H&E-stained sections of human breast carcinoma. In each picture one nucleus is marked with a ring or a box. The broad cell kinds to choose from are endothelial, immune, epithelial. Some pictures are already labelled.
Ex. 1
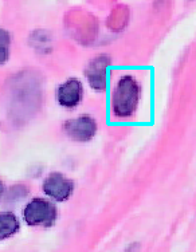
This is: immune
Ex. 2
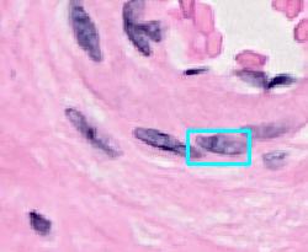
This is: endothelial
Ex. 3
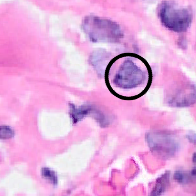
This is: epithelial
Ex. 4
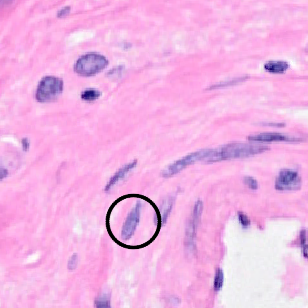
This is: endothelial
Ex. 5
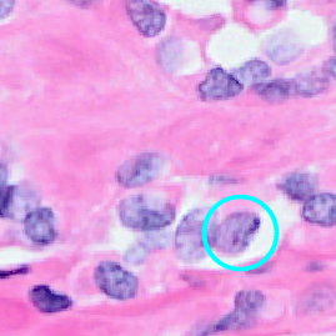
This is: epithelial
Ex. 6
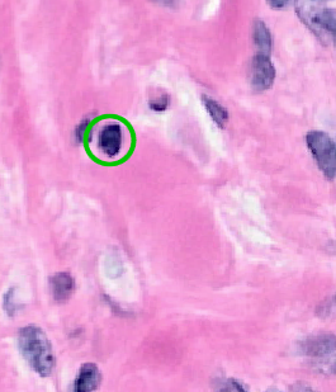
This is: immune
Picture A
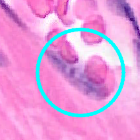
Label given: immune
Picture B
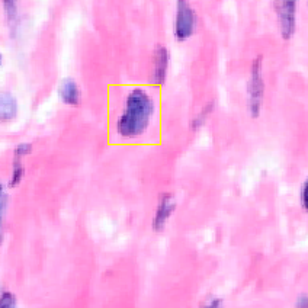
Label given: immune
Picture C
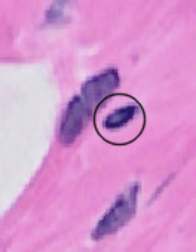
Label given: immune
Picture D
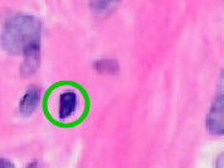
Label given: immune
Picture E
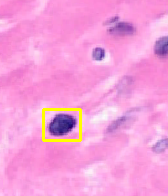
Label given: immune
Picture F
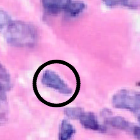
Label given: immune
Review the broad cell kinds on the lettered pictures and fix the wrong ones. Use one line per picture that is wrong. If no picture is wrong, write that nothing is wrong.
A: change immune to endothelial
